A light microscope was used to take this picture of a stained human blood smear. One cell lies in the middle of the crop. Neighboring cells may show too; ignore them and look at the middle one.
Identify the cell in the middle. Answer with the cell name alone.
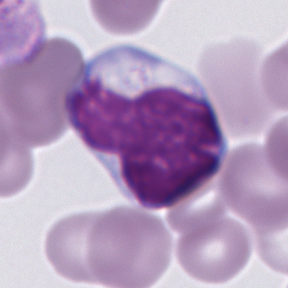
large granular lymphocyte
